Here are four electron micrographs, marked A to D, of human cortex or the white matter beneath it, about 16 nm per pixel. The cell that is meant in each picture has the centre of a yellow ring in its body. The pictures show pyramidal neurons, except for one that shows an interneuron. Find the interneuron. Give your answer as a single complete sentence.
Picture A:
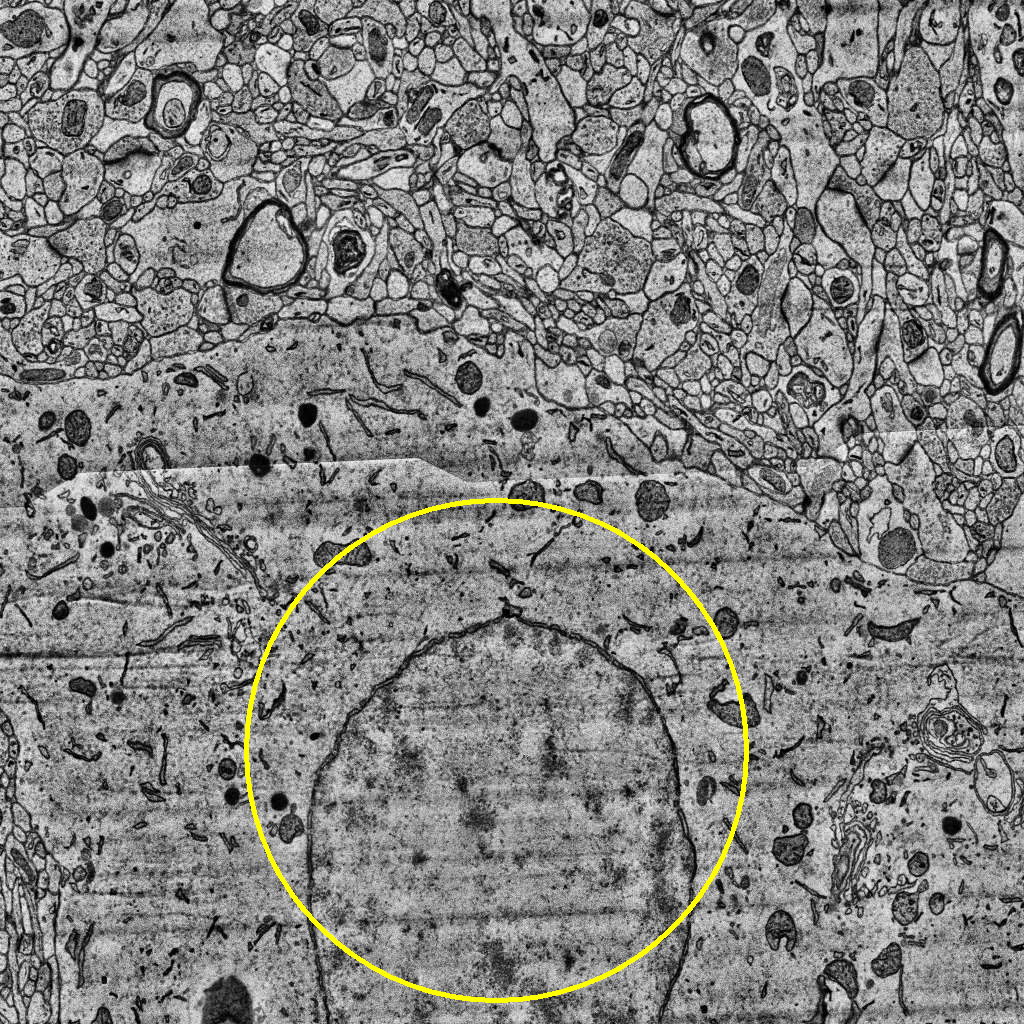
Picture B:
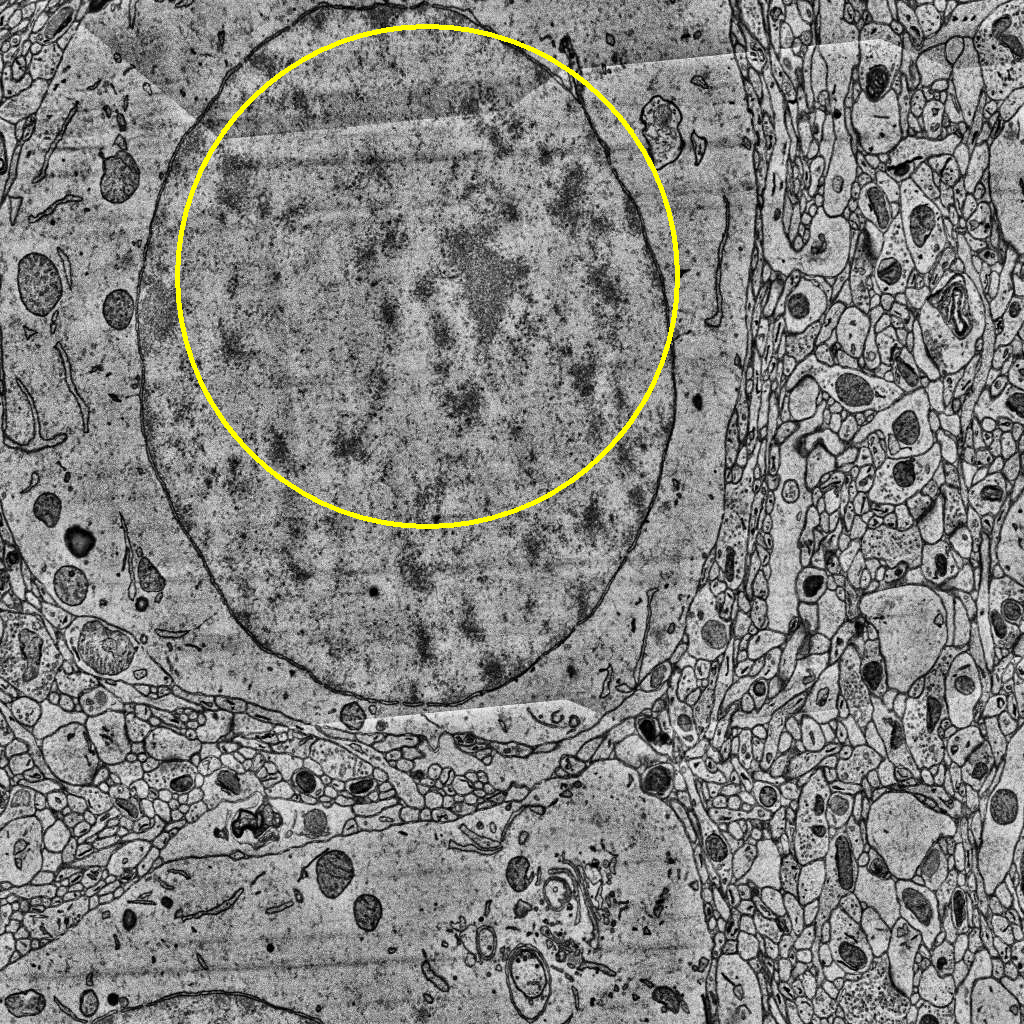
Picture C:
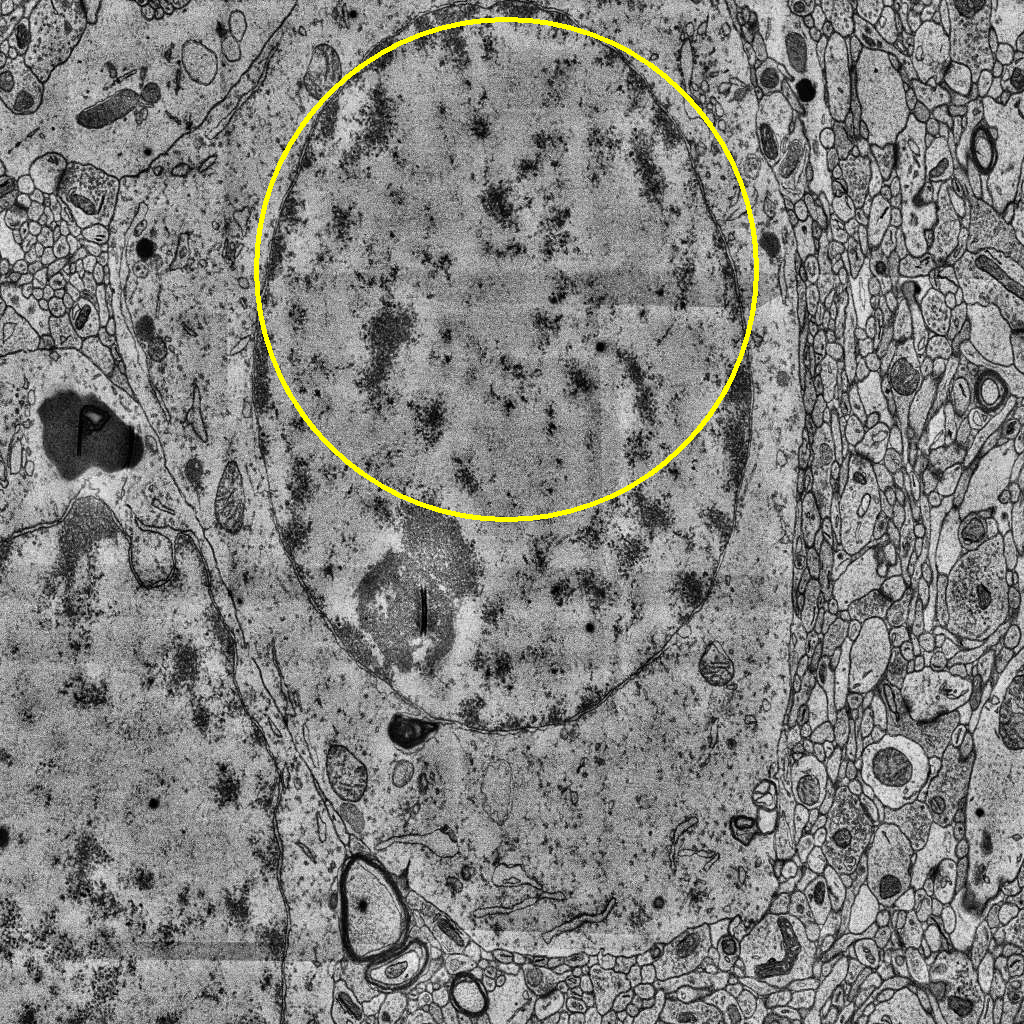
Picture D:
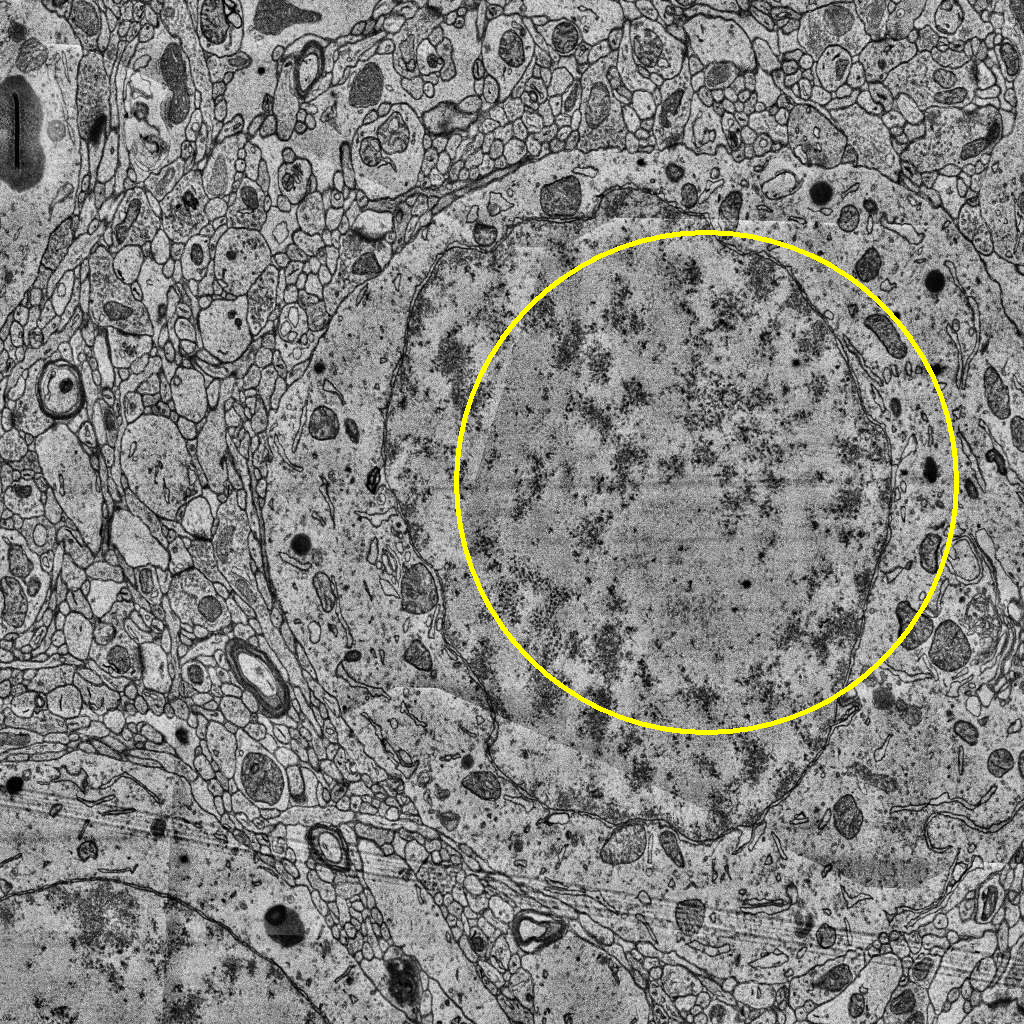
The cell in picture D is the interneuron.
